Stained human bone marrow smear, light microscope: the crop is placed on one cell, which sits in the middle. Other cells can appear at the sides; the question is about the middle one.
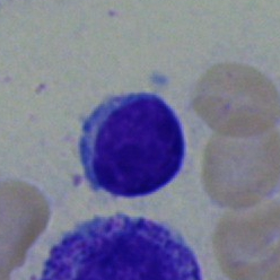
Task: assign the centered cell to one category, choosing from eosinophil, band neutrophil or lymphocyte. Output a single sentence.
In short, the cell at the center is a lymphocyte.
